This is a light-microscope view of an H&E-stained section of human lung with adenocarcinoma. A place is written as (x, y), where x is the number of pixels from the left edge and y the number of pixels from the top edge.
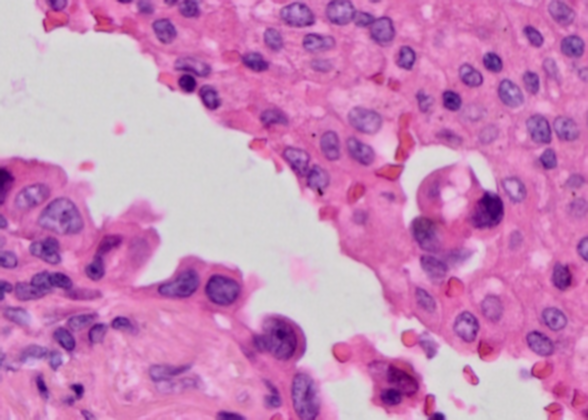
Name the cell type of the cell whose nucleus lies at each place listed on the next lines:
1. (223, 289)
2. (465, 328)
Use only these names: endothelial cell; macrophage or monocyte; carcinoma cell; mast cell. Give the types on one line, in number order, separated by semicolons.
carcinoma cell; macrophage or monocyte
